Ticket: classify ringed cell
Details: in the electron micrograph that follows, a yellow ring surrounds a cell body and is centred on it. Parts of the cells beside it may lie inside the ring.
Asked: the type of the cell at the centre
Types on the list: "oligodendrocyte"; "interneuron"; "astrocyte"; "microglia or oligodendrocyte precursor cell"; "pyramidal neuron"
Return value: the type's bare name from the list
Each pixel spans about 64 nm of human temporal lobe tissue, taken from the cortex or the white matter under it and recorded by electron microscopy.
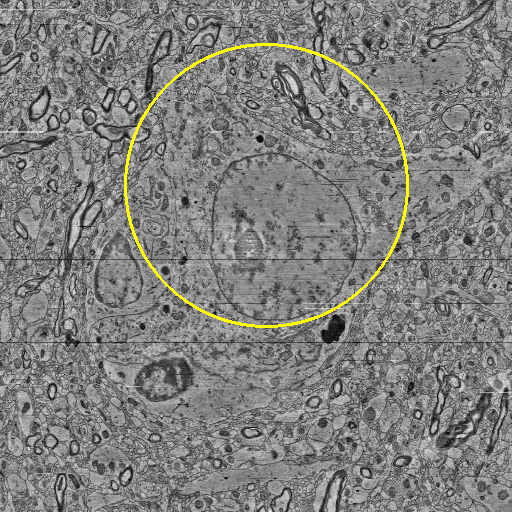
pyramidal neuron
